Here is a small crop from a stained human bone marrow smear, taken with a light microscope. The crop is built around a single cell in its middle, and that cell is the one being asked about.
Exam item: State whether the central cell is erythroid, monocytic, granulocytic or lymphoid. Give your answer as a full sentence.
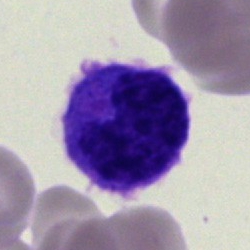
The cell at the center of the crop derives from the monocytic lineage.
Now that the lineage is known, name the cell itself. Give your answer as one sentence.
The cell centred in this crop is categorized as a monocyte.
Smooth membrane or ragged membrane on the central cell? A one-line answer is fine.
No smooth contour is present; the border is ragged or extended into projections.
